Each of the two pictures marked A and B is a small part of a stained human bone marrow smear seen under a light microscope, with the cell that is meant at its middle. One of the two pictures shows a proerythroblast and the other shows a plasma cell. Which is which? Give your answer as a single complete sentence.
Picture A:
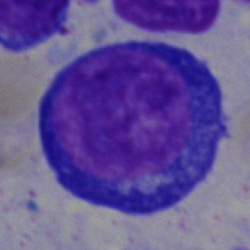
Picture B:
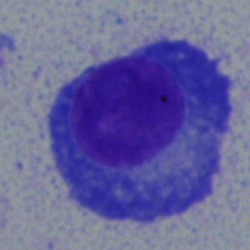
Picture A shows a proerythroblast and picture B shows a plasma cell.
